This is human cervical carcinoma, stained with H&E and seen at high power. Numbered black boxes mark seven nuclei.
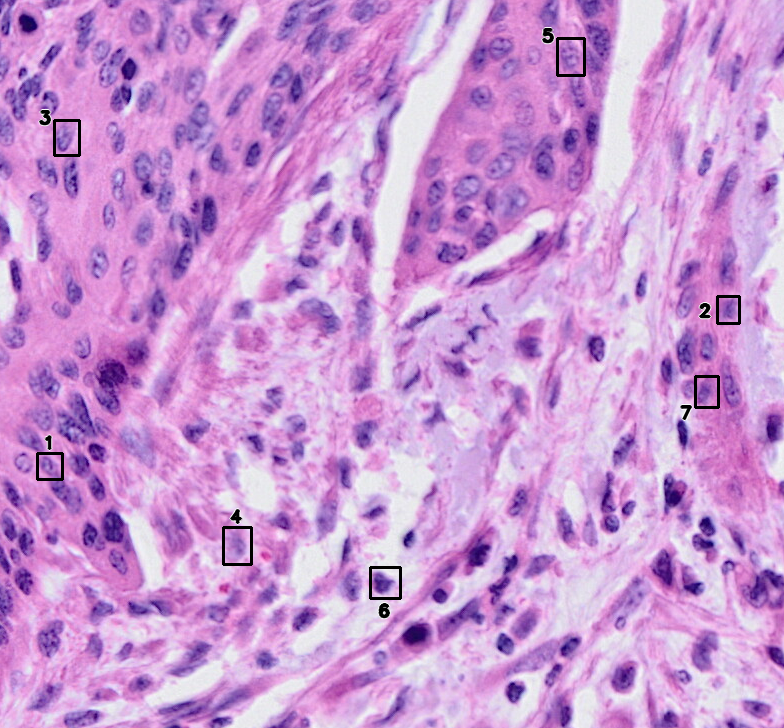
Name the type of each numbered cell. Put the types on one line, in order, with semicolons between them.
squamous carcinoma cell; smooth muscle cell; squamous carcinoma cell; fibroblast; squamous carcinoma cell; lymphocyte; smooth muscle cell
